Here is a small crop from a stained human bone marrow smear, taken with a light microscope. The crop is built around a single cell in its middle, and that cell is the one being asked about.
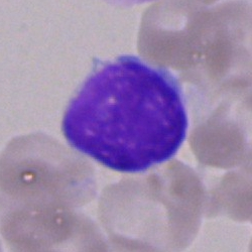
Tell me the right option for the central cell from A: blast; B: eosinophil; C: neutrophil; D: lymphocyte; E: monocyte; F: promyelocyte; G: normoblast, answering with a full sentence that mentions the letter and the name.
What sits in the middle of the crop is a lymphocyte, and option D is correct.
